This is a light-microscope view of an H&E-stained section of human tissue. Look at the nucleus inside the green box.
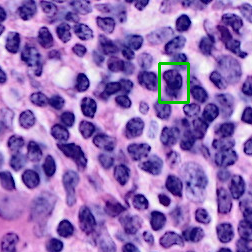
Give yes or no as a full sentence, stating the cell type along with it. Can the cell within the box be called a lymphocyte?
Yes, the cell within the box is a lymphocyte by cell type.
